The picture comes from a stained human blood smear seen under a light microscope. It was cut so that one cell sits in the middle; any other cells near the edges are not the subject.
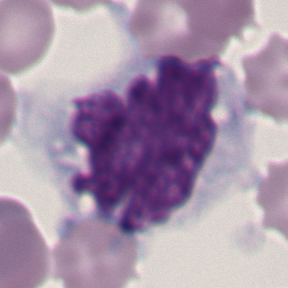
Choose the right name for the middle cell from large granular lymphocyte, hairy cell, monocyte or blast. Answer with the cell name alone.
monocyte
